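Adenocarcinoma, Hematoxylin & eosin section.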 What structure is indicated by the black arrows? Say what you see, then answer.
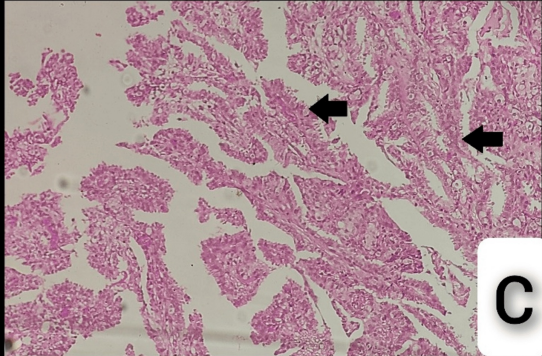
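Finger-like fronds of tumor tissue project into open spaces. Fronds are covered by crowded cells. The answer: papillary pattern.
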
